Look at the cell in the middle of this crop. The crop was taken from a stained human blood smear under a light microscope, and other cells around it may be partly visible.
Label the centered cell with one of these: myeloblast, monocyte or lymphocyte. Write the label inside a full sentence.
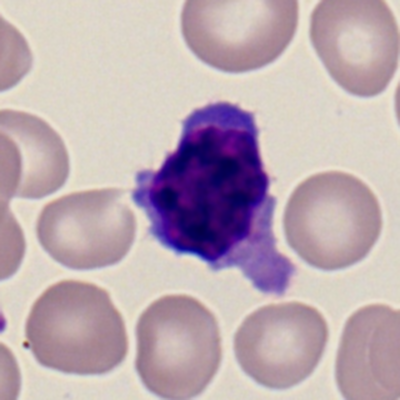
The cell at the central position in this crop is a lymphocyte.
